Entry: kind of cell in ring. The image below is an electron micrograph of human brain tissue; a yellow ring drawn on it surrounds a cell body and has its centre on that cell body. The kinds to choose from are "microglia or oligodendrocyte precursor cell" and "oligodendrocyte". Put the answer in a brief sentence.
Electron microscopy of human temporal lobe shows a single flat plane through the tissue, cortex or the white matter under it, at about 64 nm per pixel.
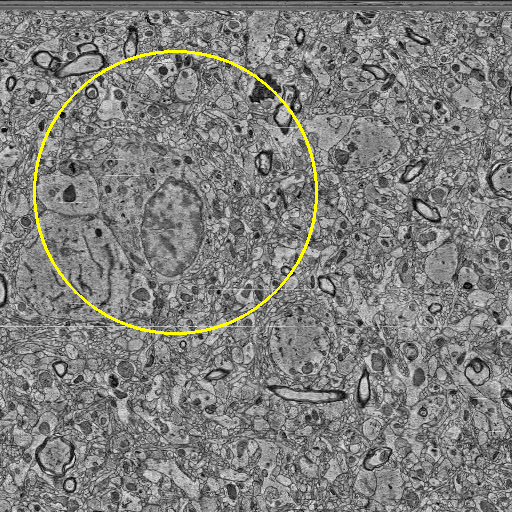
The ring has been drawn around an oligodendrocyte.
